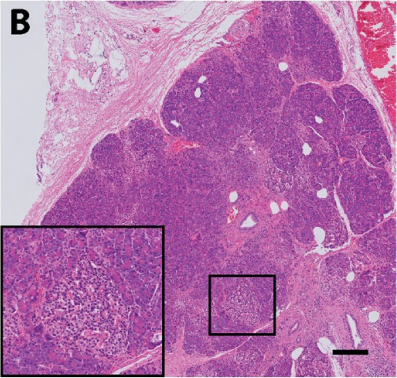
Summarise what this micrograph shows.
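This is pancreatic parenchyma: densely packed, deep purple glandular lobules divided by pale pink bands of fibrous connective tissue, with looser fibrous and fatty tissue at the upper left. Within one lobule a rounded, paler cluster of cells stands out from the surrounding glandular tissue; it is an islet of Langerhans, enlarged in the inset.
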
